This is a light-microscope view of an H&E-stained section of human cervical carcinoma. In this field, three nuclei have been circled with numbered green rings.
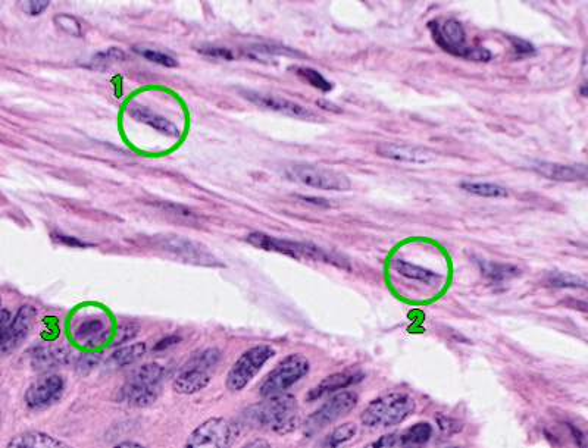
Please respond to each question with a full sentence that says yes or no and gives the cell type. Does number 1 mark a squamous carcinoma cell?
No, number 1 is not a squamous carcinoma cell but a fibroblast.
